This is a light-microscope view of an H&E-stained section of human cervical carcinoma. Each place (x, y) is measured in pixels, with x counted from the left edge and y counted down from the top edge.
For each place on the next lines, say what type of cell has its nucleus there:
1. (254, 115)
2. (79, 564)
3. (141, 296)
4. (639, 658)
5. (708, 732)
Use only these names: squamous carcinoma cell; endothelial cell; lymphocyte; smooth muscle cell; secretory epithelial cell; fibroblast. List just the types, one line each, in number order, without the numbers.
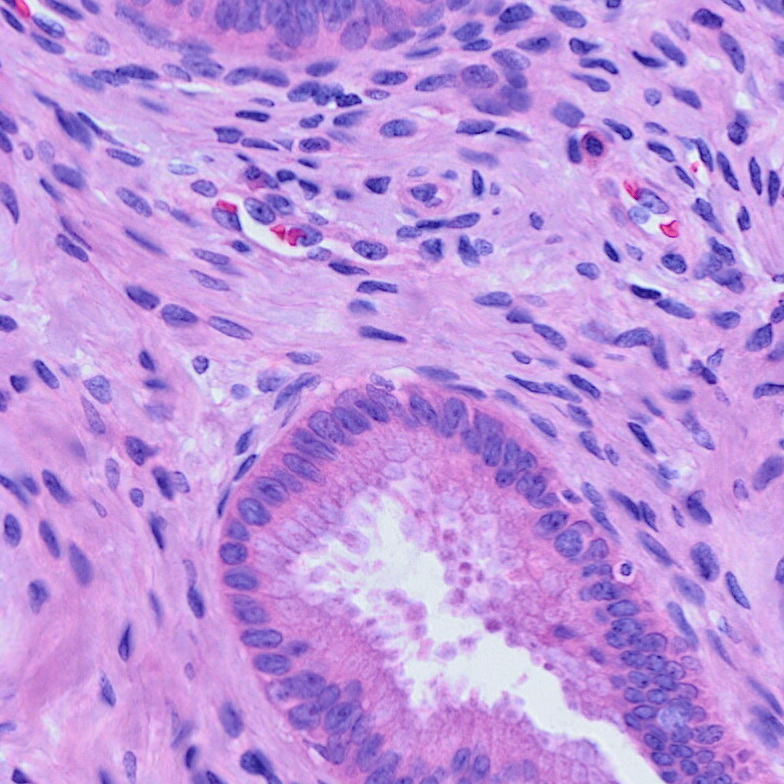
fibroblast
fibroblast
fibroblast
secretory epithelial cell
secretory epithelial cell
